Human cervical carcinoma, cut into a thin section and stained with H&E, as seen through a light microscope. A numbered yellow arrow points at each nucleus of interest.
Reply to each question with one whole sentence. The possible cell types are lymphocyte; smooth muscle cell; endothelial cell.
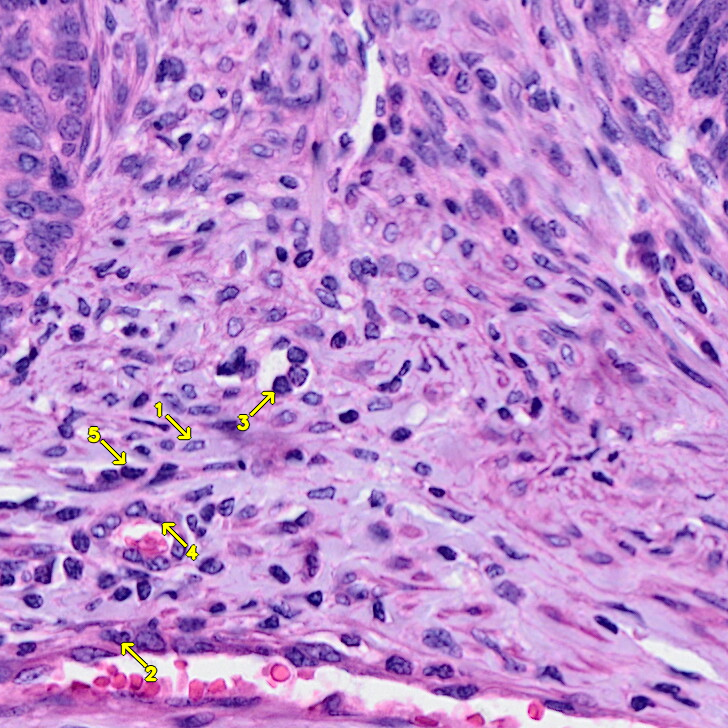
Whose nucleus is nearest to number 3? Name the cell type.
The cell nearest to number 3 is a lymphocyte.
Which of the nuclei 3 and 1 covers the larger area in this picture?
Nucleus 3 covers more area, about 2 times as much as nucleus 1.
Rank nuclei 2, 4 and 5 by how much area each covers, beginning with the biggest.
From largest to smallest, the order is 2, 5, 4.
